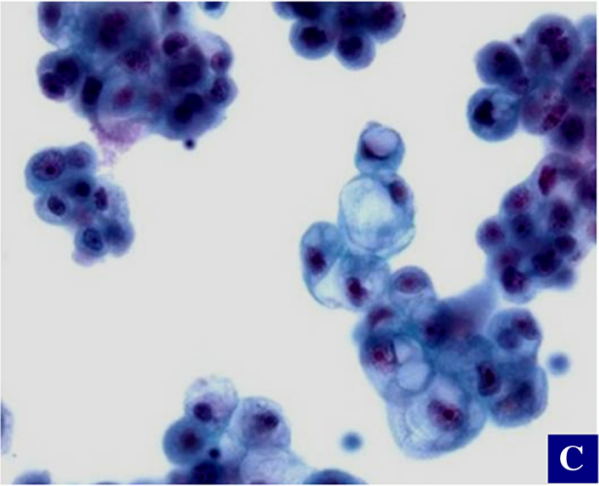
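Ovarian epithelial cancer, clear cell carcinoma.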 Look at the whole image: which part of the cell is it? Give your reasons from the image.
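Vacuoles. Several cells in the centre have large clear round spaces in their cytoplasm. The clear spaces push and indent the nuclei.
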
